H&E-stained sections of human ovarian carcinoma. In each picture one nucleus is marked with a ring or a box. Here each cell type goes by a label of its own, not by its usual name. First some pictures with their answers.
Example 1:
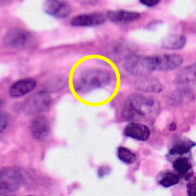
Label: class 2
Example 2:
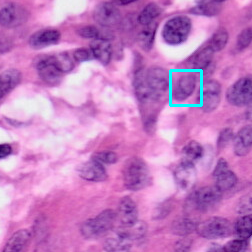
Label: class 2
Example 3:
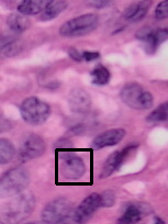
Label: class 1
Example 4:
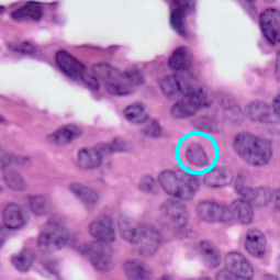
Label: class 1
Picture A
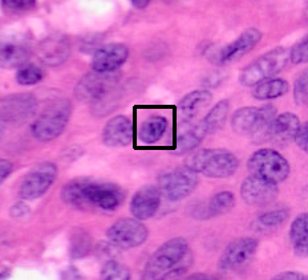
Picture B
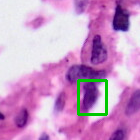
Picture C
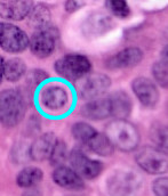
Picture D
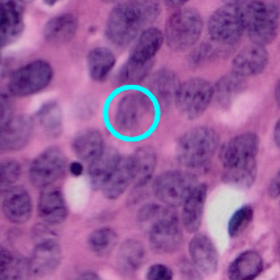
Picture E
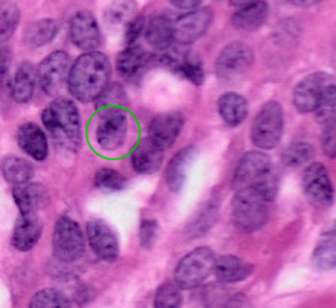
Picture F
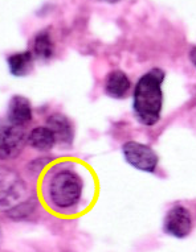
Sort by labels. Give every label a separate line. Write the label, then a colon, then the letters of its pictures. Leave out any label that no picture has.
class 2: B, D, F
class 1: A, C, E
